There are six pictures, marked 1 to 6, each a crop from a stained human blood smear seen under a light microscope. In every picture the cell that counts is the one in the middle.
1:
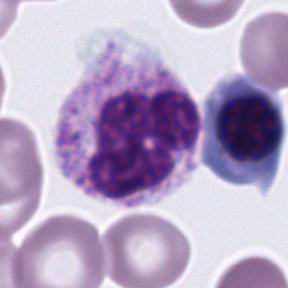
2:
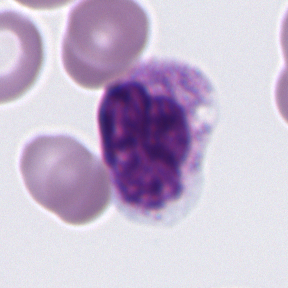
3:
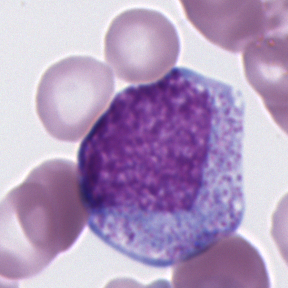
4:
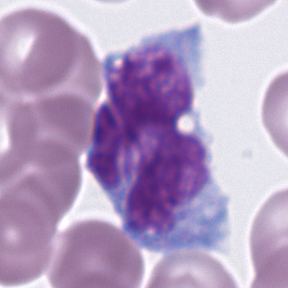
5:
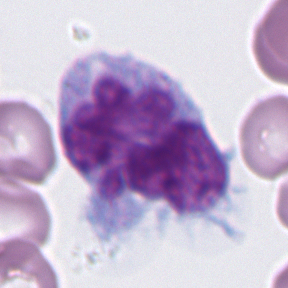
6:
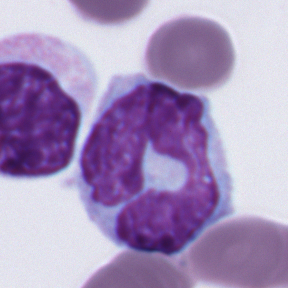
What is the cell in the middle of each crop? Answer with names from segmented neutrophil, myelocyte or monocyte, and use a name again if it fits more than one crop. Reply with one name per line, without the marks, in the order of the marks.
segmented neutrophil
segmented neutrophil
myelocyte
monocyte
monocyte
monocyte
